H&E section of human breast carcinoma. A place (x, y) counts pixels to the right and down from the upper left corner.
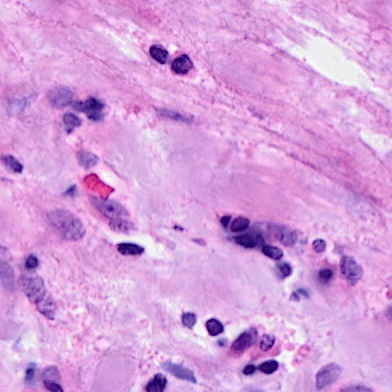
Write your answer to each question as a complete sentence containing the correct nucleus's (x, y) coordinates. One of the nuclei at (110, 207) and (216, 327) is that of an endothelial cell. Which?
The nucleus of an endothelial cell is the one at (110, 207).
